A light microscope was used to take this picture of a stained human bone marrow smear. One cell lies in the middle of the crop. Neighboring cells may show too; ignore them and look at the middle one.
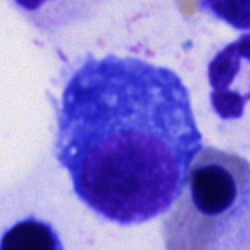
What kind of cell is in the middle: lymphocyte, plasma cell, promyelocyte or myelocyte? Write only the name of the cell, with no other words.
plasma cell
